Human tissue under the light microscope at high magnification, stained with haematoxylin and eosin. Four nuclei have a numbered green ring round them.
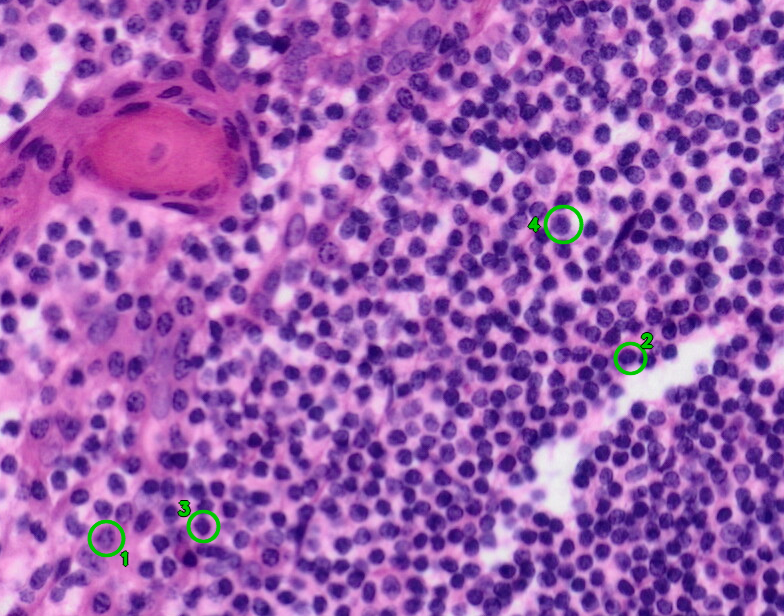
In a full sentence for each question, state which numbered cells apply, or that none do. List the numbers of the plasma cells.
Cell 1 is the only one of the numbered cells that is a plasma cell.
